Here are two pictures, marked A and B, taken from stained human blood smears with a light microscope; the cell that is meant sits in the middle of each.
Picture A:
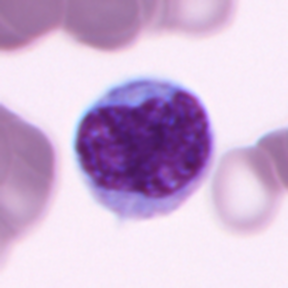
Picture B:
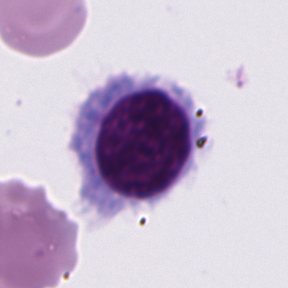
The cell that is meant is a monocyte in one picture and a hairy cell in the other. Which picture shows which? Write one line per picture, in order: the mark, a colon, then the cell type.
A: monocyte
B: hairy cell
